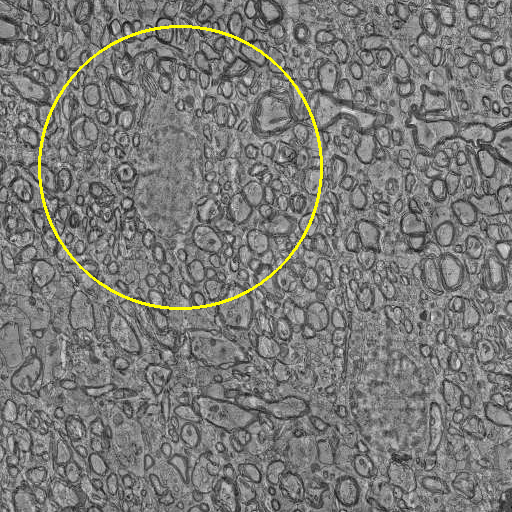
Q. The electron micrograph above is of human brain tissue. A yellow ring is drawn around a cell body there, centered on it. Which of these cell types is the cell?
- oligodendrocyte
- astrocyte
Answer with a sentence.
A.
The cell under the ring's center is an oligodendrocyte.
